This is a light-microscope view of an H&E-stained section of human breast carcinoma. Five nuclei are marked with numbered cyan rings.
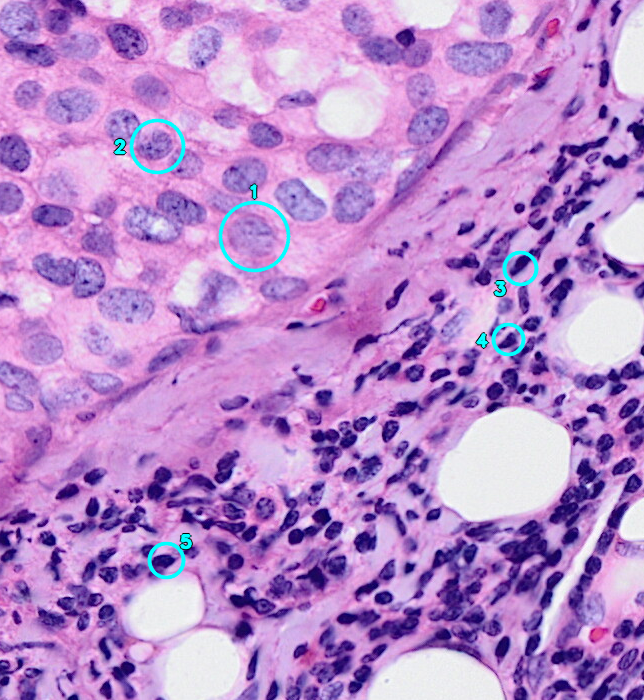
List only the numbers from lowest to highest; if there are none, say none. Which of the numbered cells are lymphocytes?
3, 4, 5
